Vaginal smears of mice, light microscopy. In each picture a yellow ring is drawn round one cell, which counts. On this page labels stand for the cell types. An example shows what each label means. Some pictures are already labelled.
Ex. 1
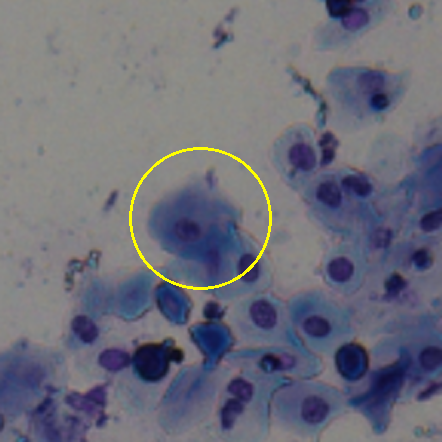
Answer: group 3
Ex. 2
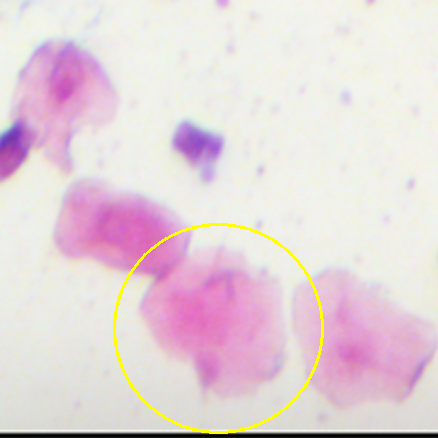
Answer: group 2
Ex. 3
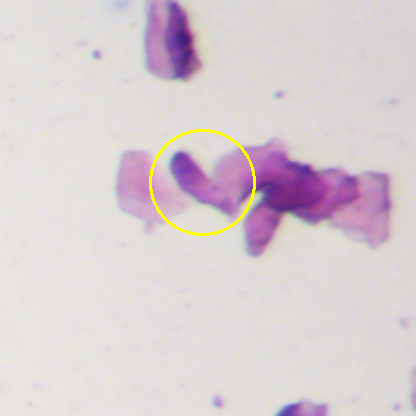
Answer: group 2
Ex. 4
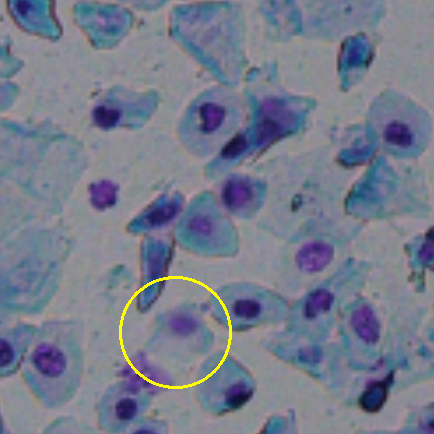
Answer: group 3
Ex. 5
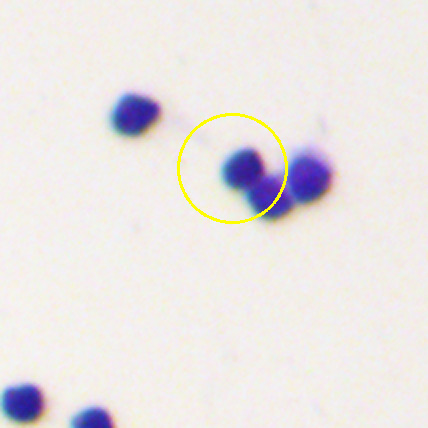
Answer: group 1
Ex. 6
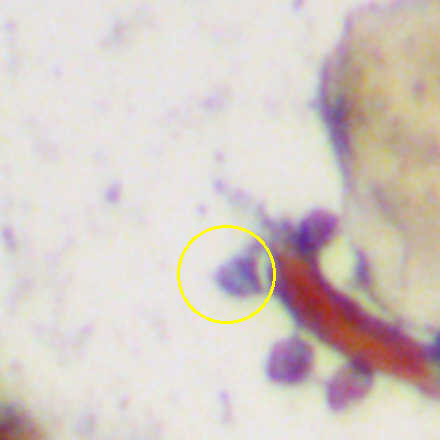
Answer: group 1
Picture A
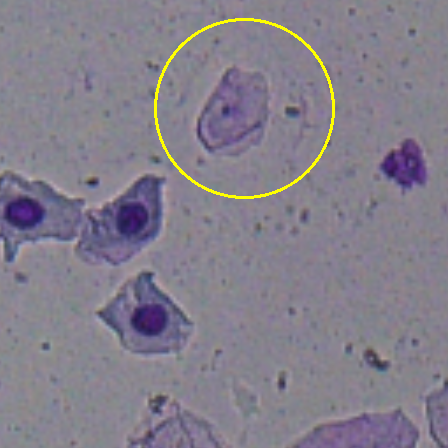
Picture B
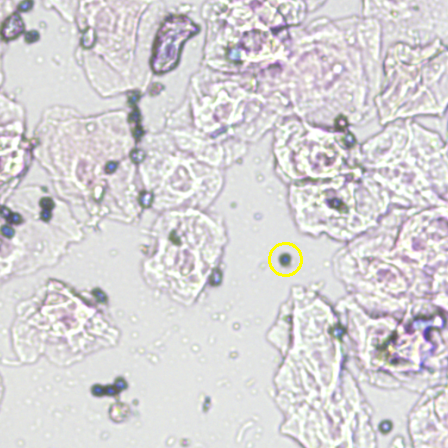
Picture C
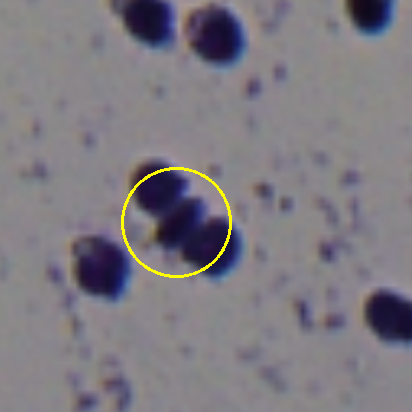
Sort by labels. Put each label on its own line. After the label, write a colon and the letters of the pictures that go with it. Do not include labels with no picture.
group 2: A
group 1: B, C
